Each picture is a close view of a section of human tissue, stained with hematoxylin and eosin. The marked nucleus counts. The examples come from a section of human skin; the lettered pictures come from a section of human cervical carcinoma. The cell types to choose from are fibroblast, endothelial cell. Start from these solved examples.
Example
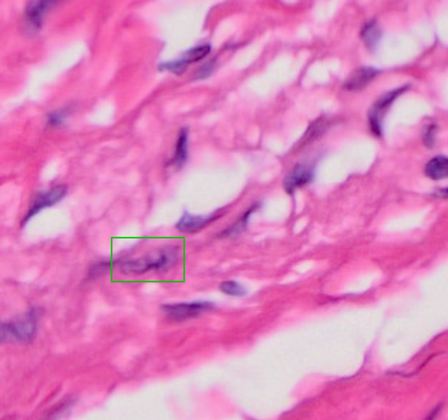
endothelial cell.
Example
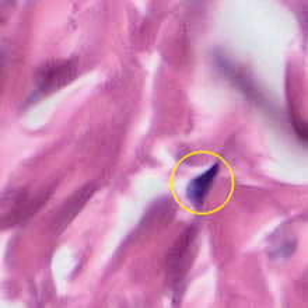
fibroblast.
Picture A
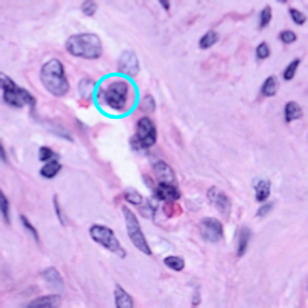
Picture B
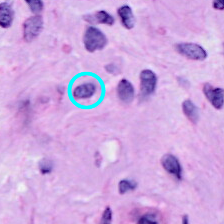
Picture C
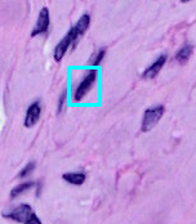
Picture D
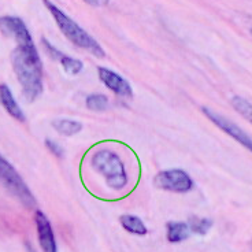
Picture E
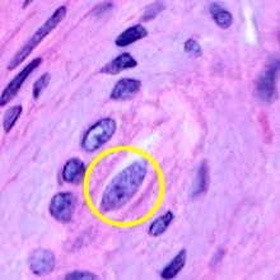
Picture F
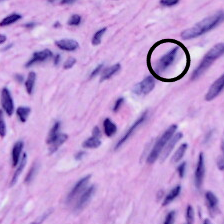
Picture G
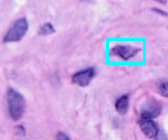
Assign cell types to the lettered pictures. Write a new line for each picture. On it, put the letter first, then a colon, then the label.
A: endothelial cell.
B: fibroblast.
C: fibroblast.
D: endothelial cell.
E: endothelial cell.
F: fibroblast.
G: fibroblast.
